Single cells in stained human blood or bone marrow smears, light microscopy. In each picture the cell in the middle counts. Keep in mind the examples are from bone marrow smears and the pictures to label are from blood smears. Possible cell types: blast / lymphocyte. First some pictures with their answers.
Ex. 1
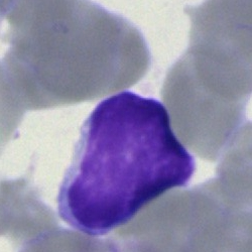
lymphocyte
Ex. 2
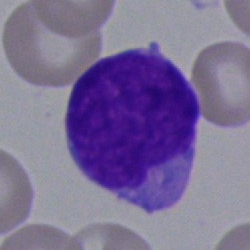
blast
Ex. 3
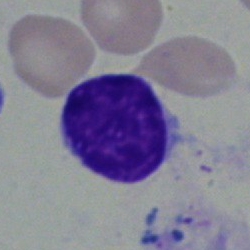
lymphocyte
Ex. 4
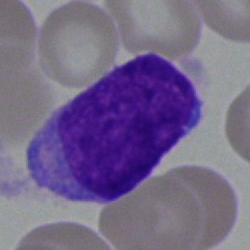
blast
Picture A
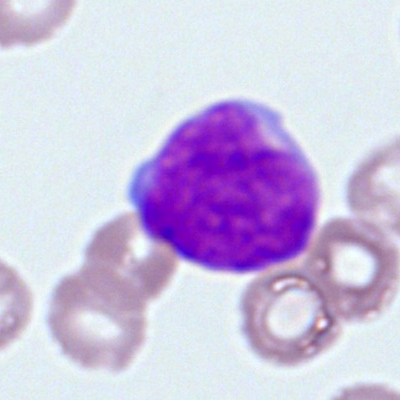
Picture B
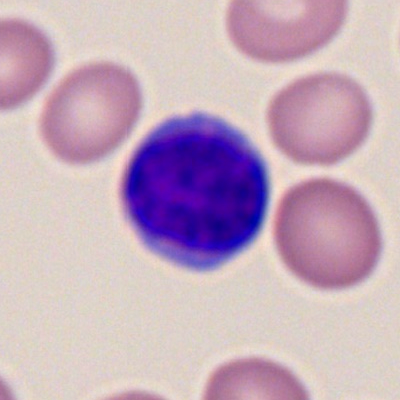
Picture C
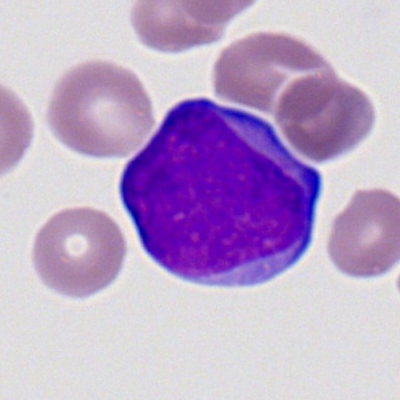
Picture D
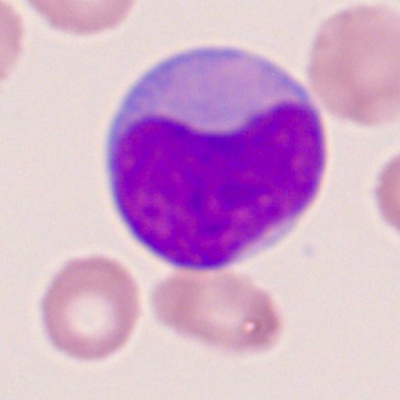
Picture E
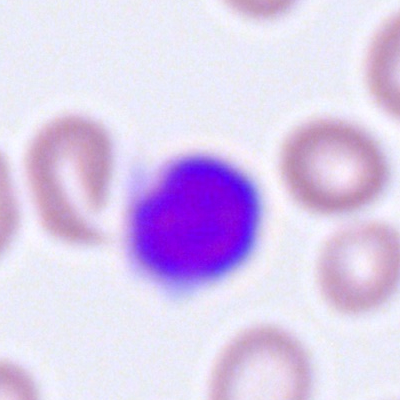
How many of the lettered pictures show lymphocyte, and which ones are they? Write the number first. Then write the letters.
2: B, E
